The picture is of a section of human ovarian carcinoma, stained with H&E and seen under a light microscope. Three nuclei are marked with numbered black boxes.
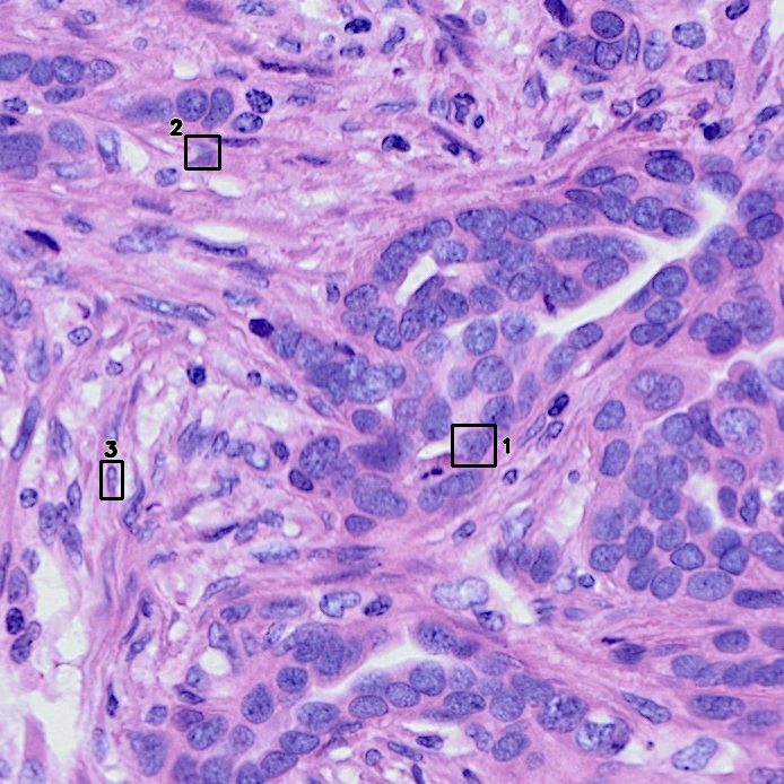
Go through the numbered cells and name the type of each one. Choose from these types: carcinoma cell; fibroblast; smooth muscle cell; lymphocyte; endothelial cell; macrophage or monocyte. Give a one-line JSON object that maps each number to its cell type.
{"1": "carcinoma cell", "2": "fibroblast", "3": "fibroblast"}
